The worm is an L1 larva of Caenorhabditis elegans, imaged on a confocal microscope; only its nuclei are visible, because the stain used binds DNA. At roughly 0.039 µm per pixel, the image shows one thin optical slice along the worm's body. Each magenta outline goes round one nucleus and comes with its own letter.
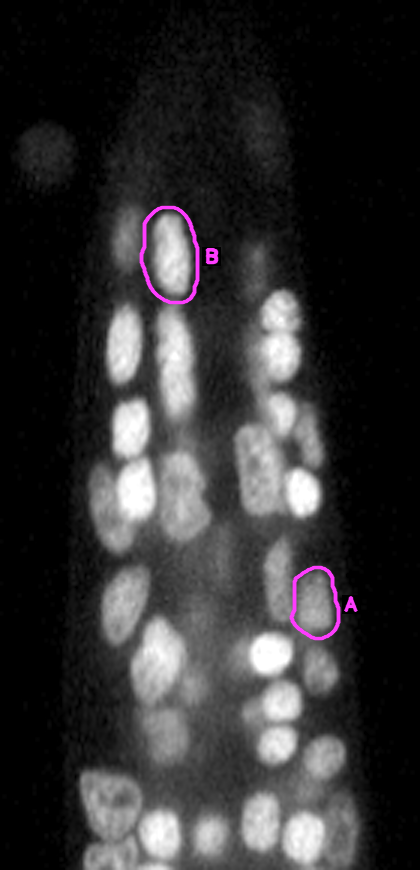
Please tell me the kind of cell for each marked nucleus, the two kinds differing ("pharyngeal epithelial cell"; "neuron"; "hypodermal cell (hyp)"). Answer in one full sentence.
A is in a hypodermal cell (hyp) and B is in a pharyngeal epithelial cell.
